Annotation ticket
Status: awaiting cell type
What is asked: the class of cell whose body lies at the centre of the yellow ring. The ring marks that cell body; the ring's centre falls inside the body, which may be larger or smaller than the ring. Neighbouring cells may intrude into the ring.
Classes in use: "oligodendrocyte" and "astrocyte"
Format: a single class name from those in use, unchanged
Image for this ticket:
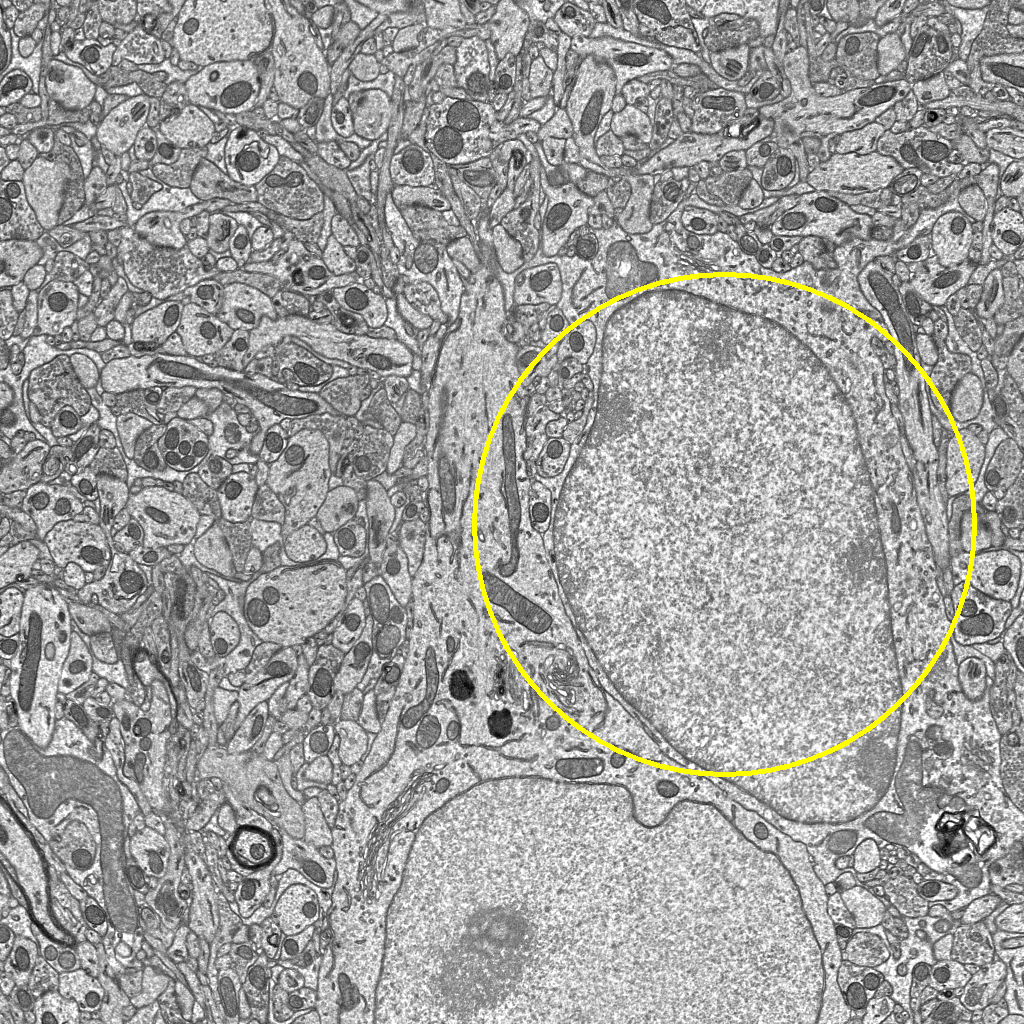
astrocyte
